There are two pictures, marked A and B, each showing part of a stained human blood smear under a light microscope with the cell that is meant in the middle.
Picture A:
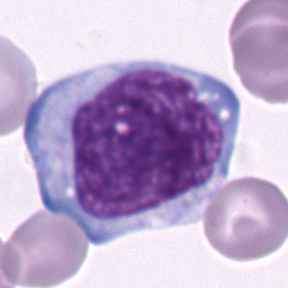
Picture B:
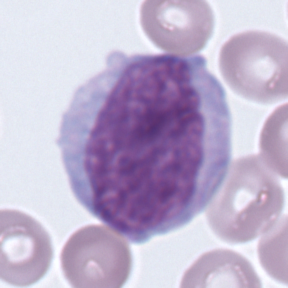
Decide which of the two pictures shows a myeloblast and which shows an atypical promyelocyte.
A: myeloblast
B: atypical promyelocyte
